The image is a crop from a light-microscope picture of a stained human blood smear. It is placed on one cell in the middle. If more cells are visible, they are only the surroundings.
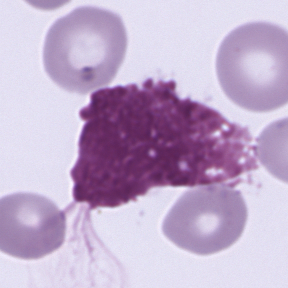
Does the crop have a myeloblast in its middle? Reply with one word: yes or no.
no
